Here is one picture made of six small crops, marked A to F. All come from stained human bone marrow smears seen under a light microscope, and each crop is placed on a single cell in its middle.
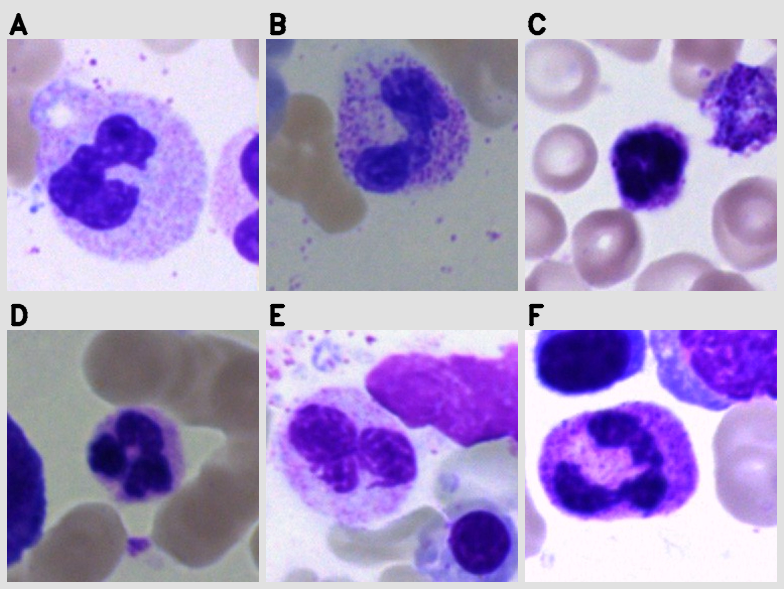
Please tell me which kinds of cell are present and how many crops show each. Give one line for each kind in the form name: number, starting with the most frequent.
segmented neutrophil: 5
band neutrophil: 1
